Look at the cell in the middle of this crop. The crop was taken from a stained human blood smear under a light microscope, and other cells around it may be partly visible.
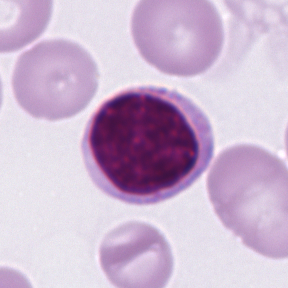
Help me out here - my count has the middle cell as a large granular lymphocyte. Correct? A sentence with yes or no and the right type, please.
Yes, the centred cell is categorised as a large granular lymphocyte.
